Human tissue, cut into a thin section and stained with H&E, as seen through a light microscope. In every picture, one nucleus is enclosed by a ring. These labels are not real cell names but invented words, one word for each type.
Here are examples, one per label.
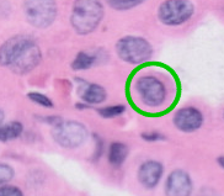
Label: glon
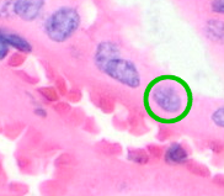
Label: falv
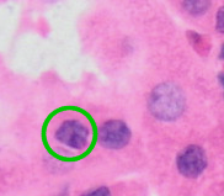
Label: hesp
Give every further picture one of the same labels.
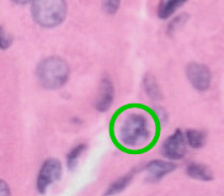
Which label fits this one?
falv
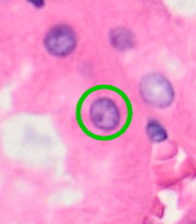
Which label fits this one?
hesp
